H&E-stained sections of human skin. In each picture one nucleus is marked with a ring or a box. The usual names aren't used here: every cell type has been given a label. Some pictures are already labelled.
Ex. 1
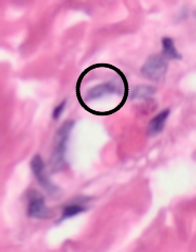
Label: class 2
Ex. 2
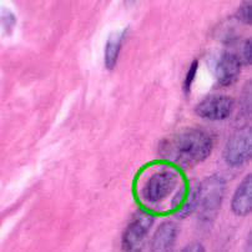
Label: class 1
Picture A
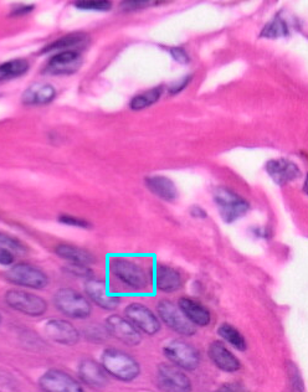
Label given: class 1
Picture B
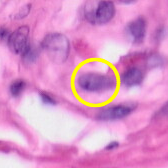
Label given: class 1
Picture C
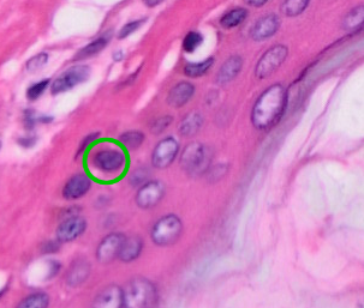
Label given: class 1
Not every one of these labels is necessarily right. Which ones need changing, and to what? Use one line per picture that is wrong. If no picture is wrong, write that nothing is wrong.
B: change class 1 to class 2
